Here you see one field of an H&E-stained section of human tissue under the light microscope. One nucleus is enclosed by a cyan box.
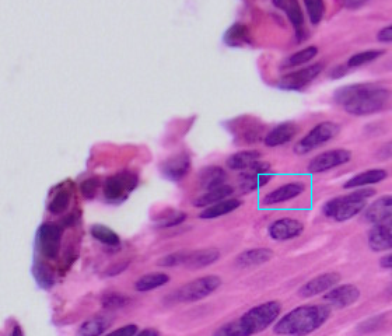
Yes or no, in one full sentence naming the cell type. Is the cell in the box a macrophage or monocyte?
No, the cell in the box is typed as a carcinoma cell rather than as a macrophage or monocyte.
